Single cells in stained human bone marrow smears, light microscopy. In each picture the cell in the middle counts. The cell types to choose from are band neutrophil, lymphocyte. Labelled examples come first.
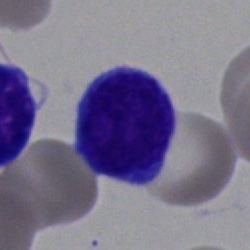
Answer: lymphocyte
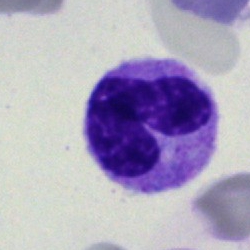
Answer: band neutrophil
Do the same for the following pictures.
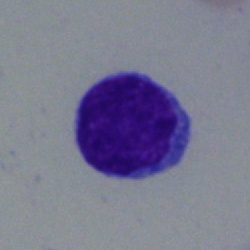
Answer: lymphocyte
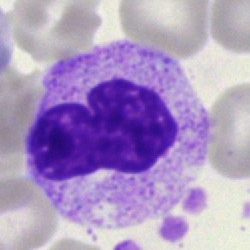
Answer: band neutrophil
